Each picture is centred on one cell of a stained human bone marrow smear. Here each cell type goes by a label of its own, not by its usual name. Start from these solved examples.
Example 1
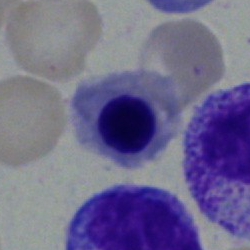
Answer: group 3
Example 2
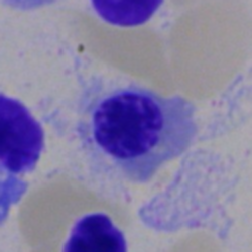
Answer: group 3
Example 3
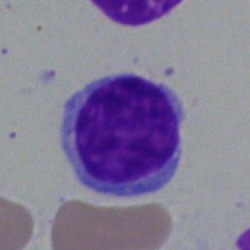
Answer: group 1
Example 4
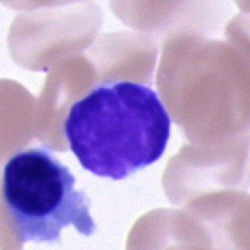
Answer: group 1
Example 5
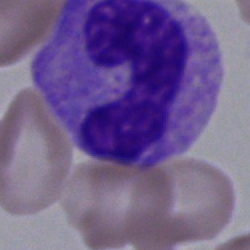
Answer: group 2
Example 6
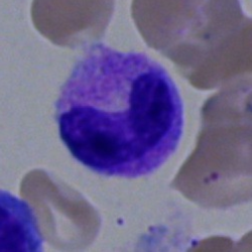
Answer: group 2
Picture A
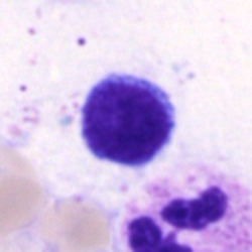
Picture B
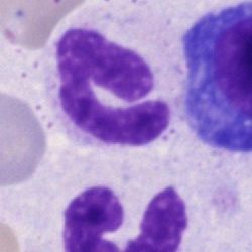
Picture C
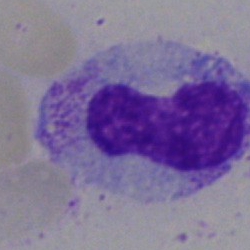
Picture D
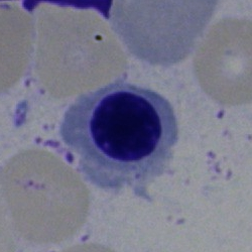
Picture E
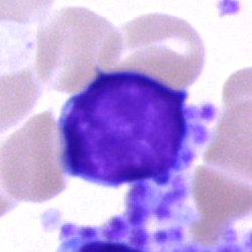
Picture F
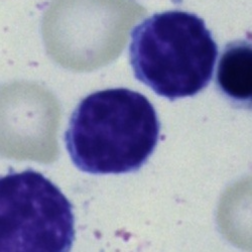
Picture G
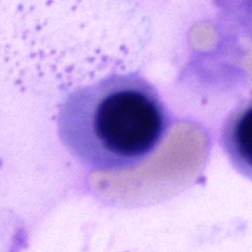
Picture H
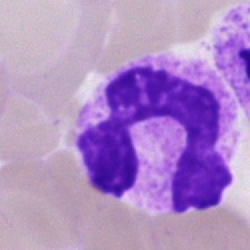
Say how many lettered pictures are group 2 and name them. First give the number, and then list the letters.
Count: 3 (B, C, H)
